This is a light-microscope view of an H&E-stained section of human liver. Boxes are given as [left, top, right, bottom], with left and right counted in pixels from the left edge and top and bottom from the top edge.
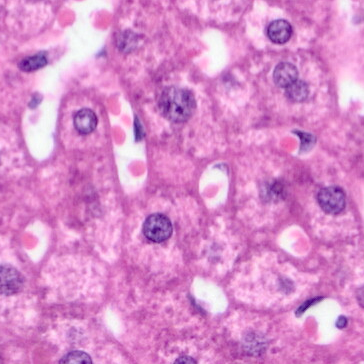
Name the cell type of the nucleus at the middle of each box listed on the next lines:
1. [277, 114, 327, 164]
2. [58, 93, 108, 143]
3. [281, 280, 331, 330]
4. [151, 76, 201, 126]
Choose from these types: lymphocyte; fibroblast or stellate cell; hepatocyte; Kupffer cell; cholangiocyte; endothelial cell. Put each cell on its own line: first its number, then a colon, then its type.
1: endothelial cell
2: hepatocyte
3: endothelial cell
4: hepatocyte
